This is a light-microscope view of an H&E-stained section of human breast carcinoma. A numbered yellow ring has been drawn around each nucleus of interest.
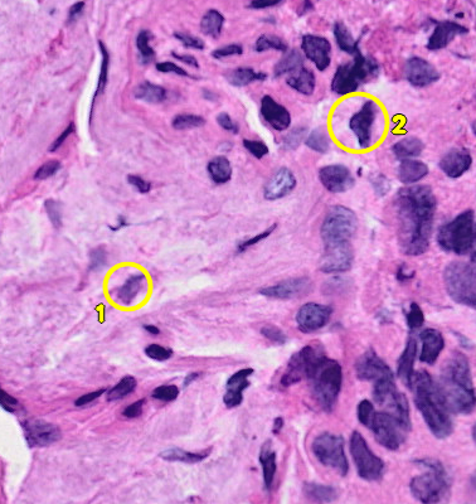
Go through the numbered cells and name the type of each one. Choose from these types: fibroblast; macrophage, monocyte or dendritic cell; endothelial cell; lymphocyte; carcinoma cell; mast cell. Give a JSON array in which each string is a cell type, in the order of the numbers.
["fibroblast", "carcinoma cell"]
